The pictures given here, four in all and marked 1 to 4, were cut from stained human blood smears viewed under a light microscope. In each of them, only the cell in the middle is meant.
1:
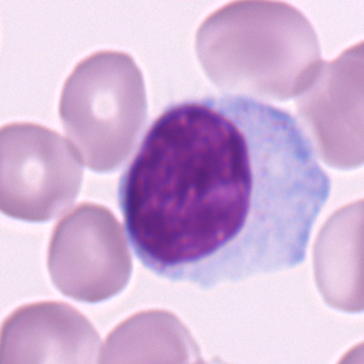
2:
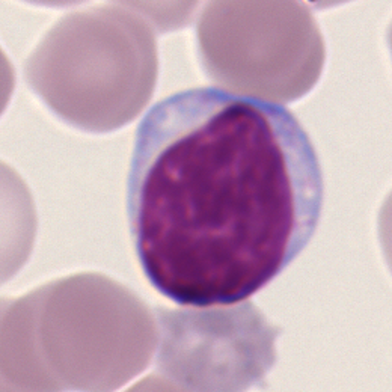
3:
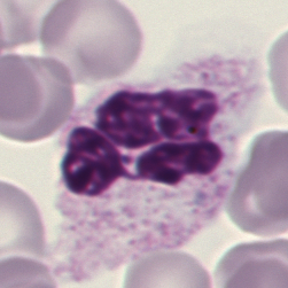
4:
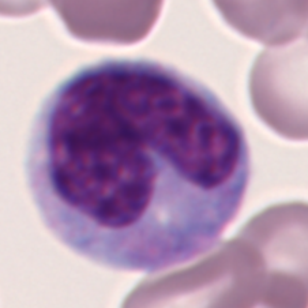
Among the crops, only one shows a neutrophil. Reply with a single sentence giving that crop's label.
The crop showing a neutrophil in this series is crop 3.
